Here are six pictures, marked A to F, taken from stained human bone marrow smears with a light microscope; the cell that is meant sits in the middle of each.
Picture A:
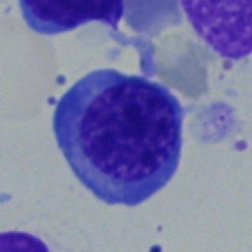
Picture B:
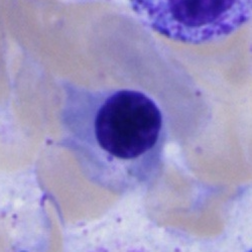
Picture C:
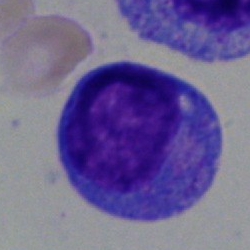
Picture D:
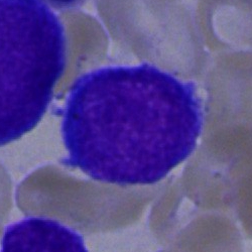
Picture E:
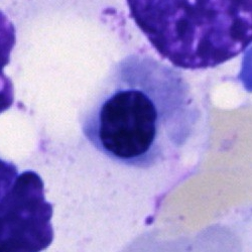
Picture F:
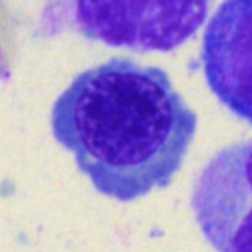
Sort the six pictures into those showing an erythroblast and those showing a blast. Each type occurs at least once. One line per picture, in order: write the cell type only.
erythroblast
erythroblast
blast
blast
erythroblast
erythroblast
